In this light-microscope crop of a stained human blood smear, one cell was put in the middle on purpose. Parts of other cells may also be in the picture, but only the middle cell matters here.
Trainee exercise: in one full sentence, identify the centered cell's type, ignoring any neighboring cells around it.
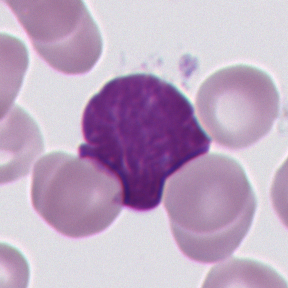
Centred in the crop is a smudge cell.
